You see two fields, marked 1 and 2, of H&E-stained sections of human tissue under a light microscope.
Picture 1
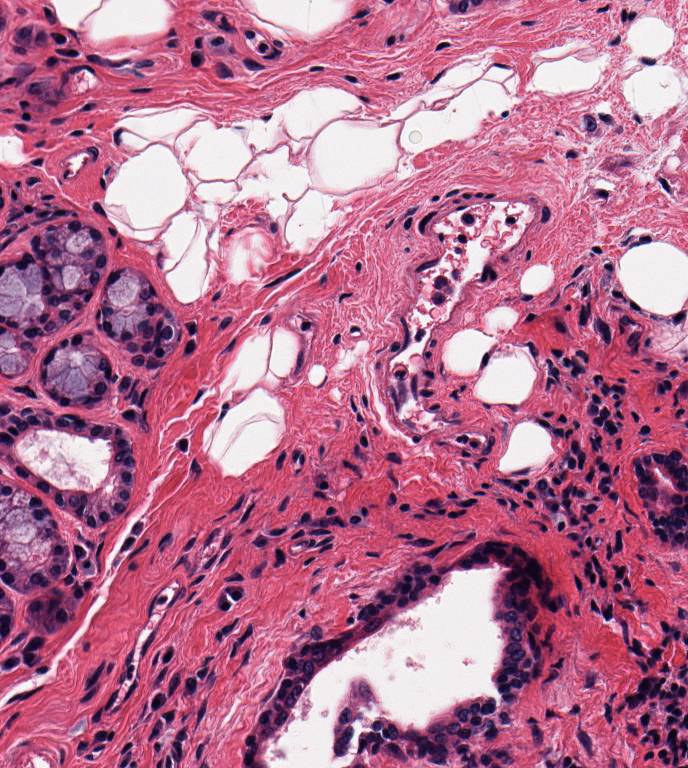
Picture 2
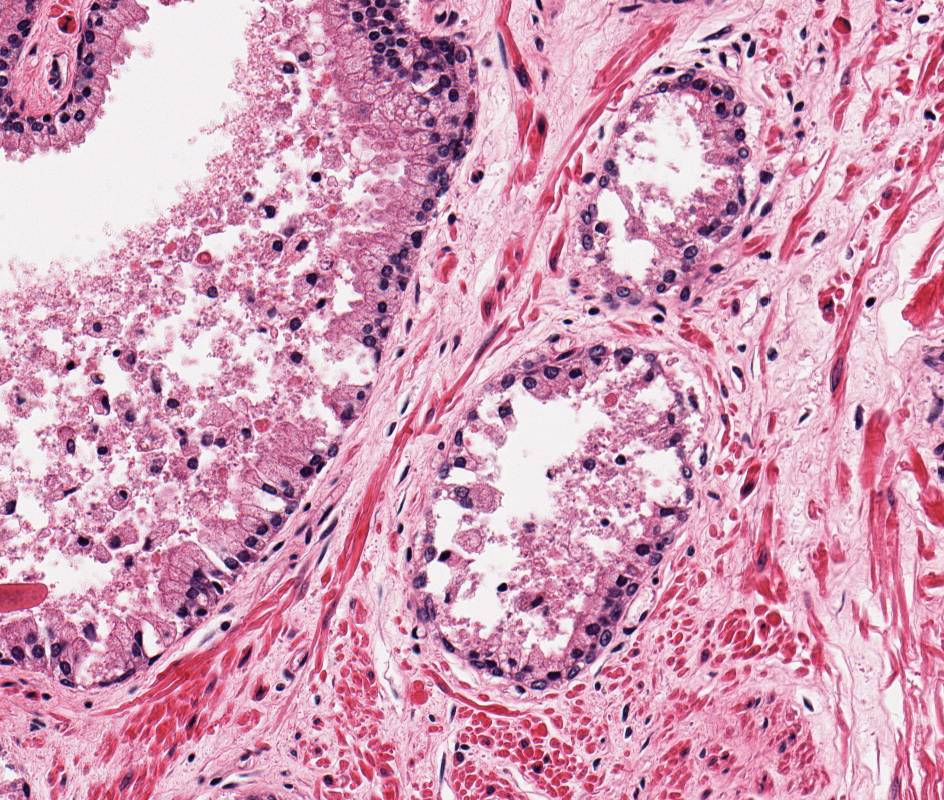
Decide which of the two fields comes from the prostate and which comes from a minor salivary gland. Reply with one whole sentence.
Picture 1 comes from a minor salivary gland; picture 2 comes from the prostate.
